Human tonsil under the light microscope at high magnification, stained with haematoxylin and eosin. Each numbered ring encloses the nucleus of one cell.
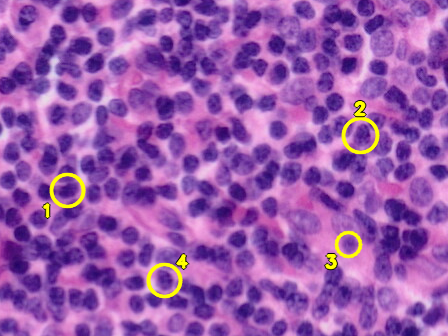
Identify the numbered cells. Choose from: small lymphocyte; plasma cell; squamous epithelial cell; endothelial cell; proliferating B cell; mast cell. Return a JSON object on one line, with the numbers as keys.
{"1": "small lymphocyte", "2": "small lymphocyte", "3": "endothelial cell", "4": "small lymphocyte"}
